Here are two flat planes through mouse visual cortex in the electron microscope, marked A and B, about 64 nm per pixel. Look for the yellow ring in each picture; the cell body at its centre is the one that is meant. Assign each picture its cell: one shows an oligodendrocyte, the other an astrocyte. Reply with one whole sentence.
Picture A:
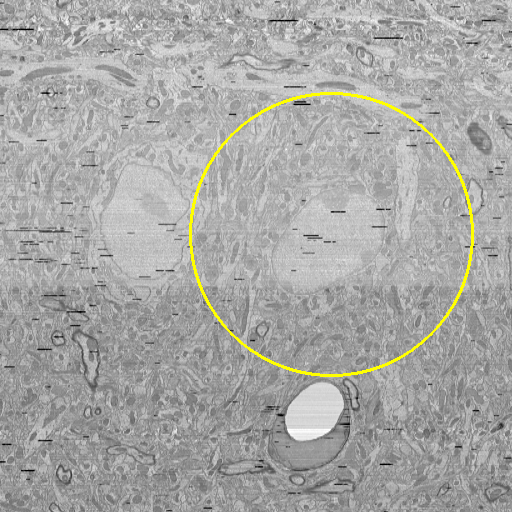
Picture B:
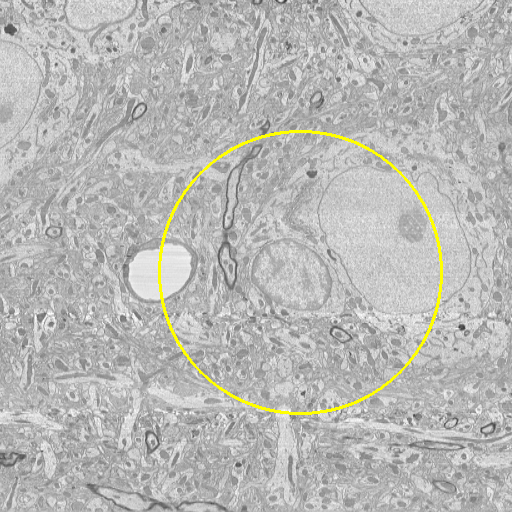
Picture B shows an oligodendrocyte, while picture A shows an astrocyte.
